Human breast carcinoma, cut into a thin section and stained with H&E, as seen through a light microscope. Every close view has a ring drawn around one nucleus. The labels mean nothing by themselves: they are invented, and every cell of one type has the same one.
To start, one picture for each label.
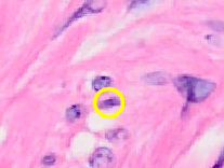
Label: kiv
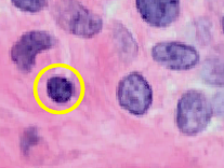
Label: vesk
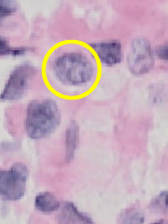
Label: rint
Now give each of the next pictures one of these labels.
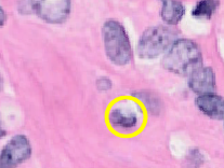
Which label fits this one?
kiv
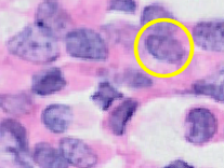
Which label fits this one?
rint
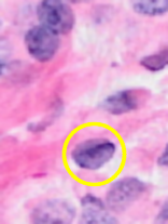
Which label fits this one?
rint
